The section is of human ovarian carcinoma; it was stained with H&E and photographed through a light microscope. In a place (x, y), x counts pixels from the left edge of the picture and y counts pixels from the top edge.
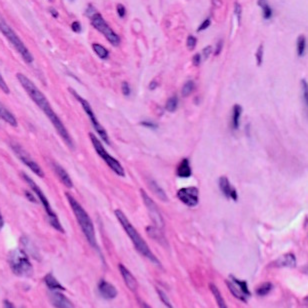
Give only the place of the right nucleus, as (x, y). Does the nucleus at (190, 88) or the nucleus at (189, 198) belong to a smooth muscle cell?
(190, 88)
